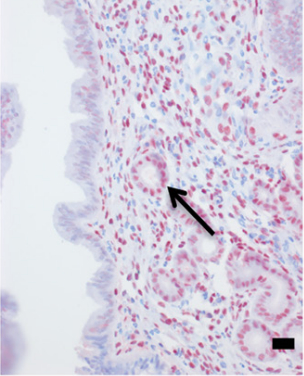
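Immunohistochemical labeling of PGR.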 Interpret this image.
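Uterine tissue is seen with a lumen lined by a columnar epithelium at the left and a cellular stroma holding many small round glands. The stromal cells have small oval nuclei, many stained red-brown, among others that are blue. The glands are lined by a single layer of epithelial cells whose nuclei are also largely red-brown.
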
